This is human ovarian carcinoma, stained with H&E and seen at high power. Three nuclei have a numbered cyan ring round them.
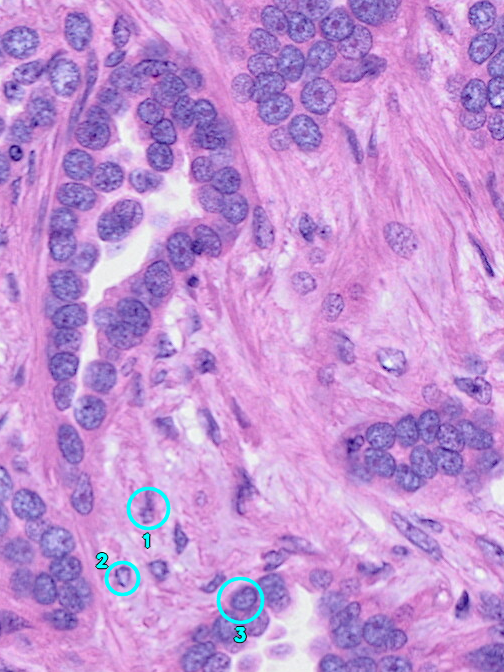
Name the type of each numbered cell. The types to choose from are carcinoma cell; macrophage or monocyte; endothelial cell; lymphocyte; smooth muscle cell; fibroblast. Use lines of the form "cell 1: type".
cell 1: fibroblast
cell 2: fibroblast
cell 3: carcinoma cell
